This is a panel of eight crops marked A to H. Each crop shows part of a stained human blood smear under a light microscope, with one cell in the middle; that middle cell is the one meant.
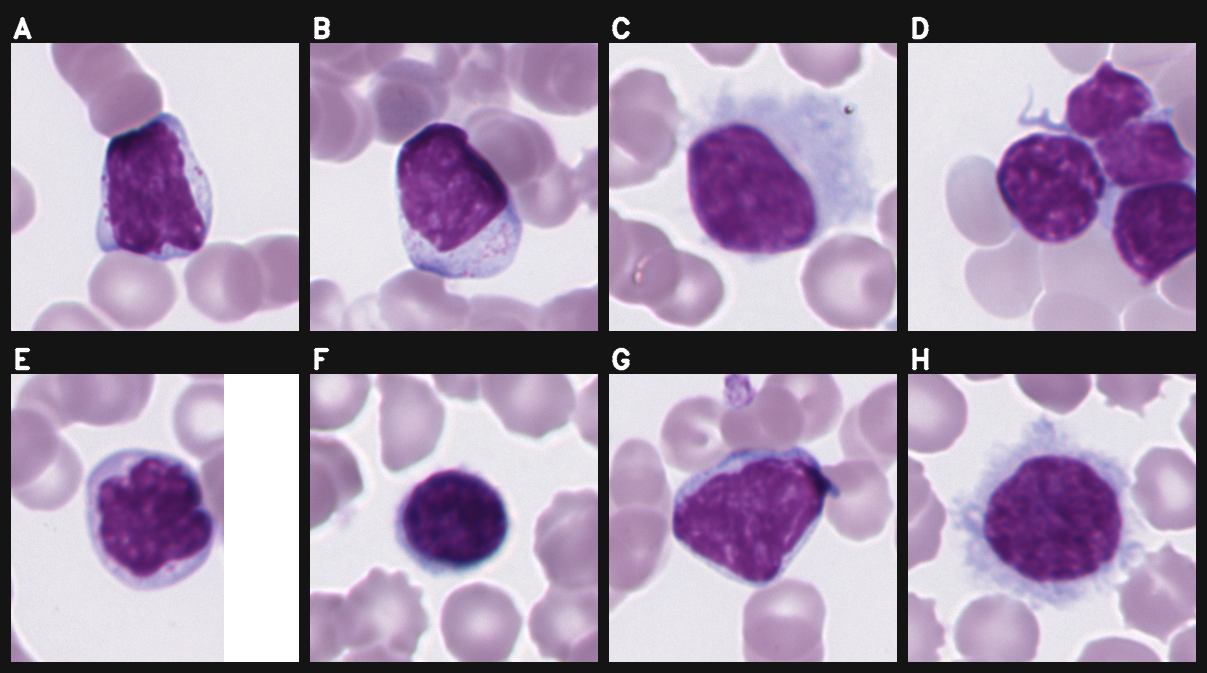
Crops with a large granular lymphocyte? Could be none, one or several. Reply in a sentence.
The cells sitting in the middle of crops A, B, E and G are large granular lymphocytes.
